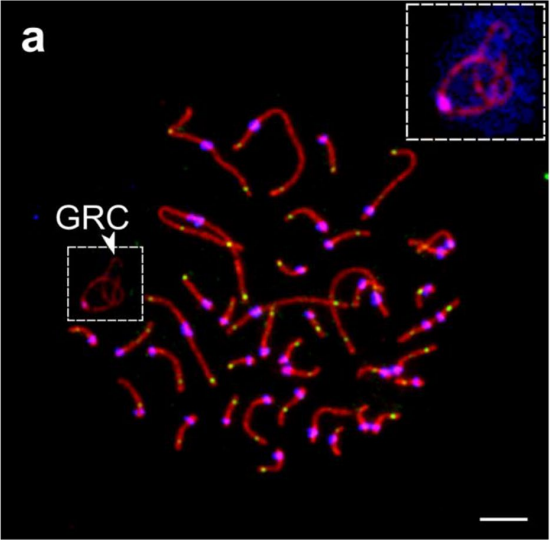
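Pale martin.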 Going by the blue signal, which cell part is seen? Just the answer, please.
centromere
